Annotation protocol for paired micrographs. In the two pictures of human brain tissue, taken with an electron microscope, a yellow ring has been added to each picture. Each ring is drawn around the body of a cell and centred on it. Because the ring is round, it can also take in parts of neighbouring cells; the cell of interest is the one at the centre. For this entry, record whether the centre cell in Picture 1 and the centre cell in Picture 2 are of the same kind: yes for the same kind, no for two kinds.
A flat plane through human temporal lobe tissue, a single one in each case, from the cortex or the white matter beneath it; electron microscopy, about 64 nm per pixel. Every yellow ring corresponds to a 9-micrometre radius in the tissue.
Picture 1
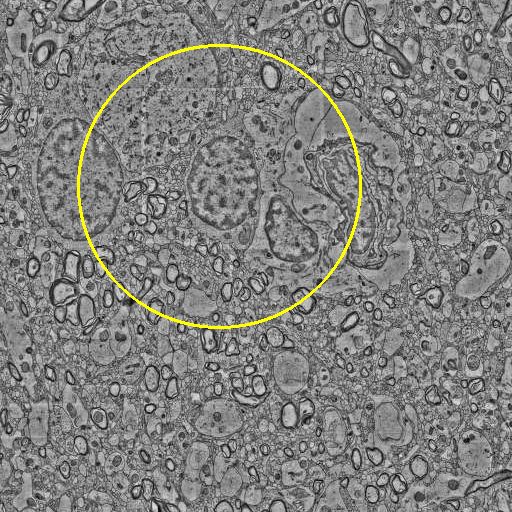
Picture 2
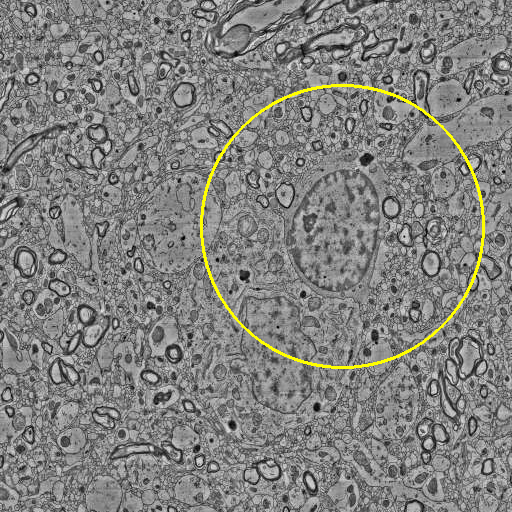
yes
